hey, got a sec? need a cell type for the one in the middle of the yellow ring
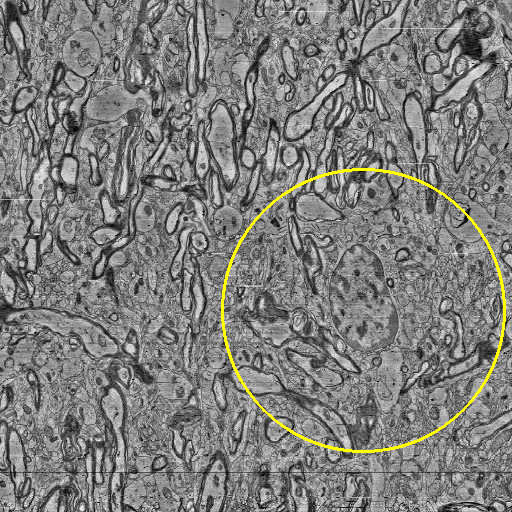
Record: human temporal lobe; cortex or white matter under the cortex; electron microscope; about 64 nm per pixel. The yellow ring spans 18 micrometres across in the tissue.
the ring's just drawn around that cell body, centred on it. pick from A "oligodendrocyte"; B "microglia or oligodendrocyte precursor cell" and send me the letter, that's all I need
B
